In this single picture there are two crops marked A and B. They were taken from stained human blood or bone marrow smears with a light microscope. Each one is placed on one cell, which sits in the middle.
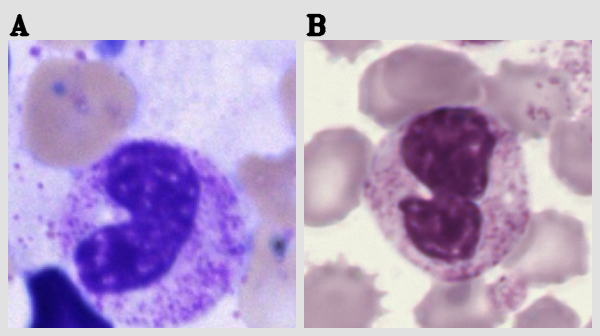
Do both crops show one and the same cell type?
yes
